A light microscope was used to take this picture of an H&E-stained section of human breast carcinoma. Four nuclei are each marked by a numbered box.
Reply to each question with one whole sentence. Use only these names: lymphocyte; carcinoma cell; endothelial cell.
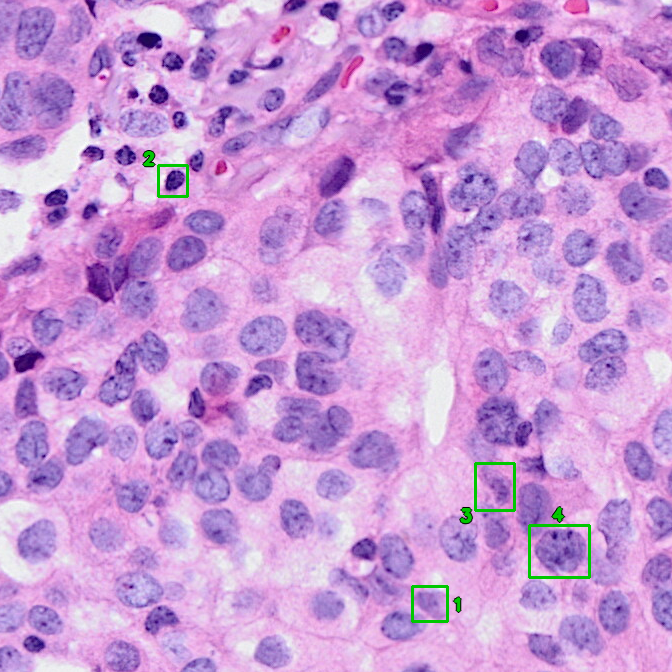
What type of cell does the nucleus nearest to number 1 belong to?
The nearest nucleus to number 1 belongs to a carcinoma cell.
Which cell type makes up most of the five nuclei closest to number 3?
Carcinoma cells make up most of the five nuclei closest to number 3.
